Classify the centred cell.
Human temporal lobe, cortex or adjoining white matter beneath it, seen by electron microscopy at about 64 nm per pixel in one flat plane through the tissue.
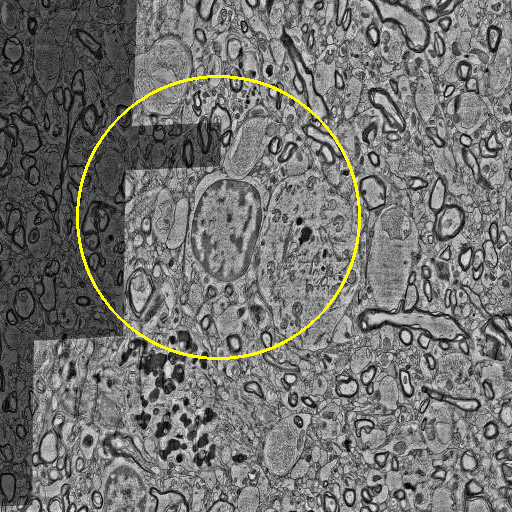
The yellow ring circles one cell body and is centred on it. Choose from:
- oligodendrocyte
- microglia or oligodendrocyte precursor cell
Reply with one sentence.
The ring is centred on a microglial cell or oligodendrocyte precursor cell.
